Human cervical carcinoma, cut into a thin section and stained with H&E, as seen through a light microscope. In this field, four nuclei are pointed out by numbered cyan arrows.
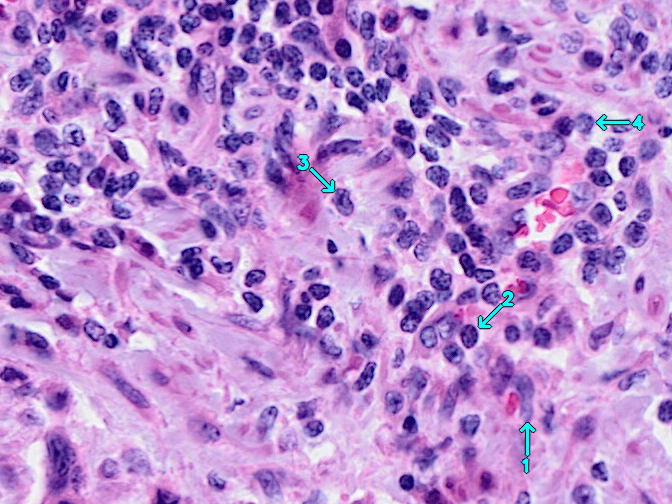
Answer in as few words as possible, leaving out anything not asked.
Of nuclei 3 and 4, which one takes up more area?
3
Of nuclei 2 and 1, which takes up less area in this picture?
1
